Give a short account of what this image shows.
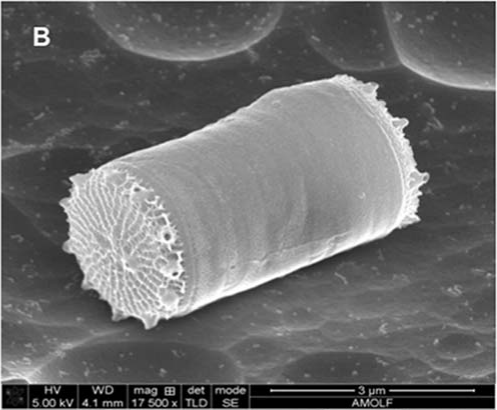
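A single diatom cell is seen as a short, rigid cylinder lying on its side on the surface. One end is a circular face with a fine pattern of ribs radiating from the centre and pierced by many small pores, with small spines around its rim. The side of the cylinder is comparatively smooth and is encircled by overlapping band-like segments. This is the silica frustule of one diatom, with the patterned end face being a valve and the side bands the girdle bands.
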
